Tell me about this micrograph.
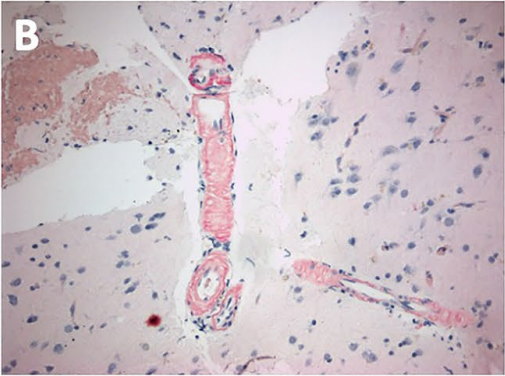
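This is brain tissue in which the wall of a small arteriole, running vertically through the centre, stains an intense red. The red material fills and thickens the vessel wall, while the lumen is narrow. A branching vessel at the lower right shows the same red wall. The surrounding brain parenchyma is pale pink with scattered blue nuclei, and blood lies in the upper left area. Clear spaces separate the vessel from the neighbouring tissue.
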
